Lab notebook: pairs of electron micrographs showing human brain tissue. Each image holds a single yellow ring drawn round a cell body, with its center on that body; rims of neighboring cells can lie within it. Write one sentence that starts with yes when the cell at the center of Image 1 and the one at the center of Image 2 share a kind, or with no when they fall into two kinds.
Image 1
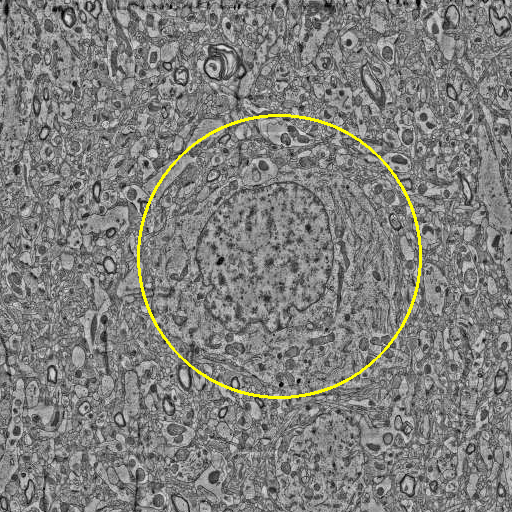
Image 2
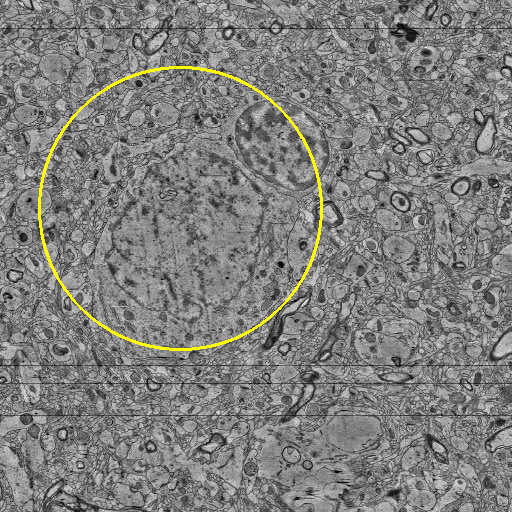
Yes, the centered cell in Image 1 and the centered cell in Image 2 are of one kind.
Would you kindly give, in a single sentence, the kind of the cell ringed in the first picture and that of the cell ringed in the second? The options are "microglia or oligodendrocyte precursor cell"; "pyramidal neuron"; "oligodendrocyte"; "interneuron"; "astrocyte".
The first and the second cell are each an interneuron.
